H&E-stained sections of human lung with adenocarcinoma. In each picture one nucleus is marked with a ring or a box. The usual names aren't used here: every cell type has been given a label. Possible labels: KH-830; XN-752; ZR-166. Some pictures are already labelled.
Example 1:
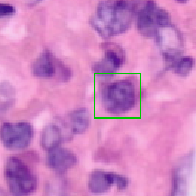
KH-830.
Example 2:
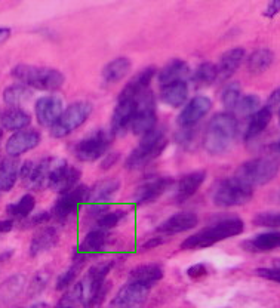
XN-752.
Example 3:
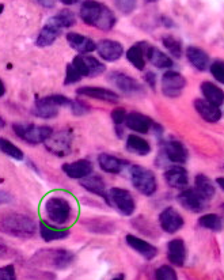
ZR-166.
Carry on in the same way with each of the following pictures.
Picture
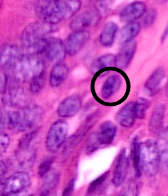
XN-752.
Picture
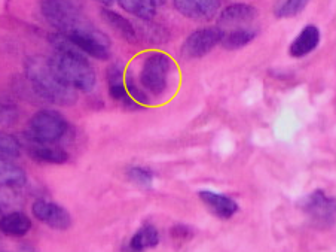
XN-752.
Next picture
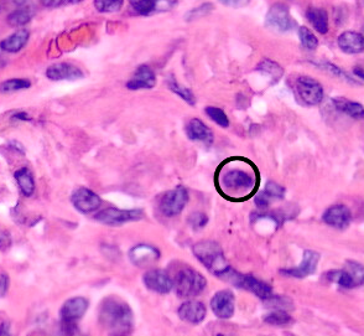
KH-830.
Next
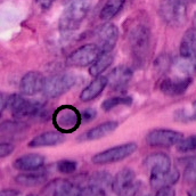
XN-752.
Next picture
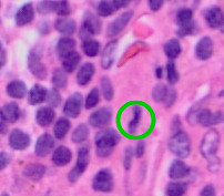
ZR-166.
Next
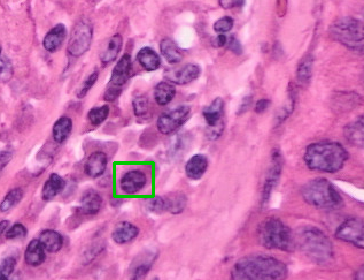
KH-830.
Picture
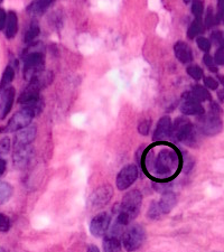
XN-752.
